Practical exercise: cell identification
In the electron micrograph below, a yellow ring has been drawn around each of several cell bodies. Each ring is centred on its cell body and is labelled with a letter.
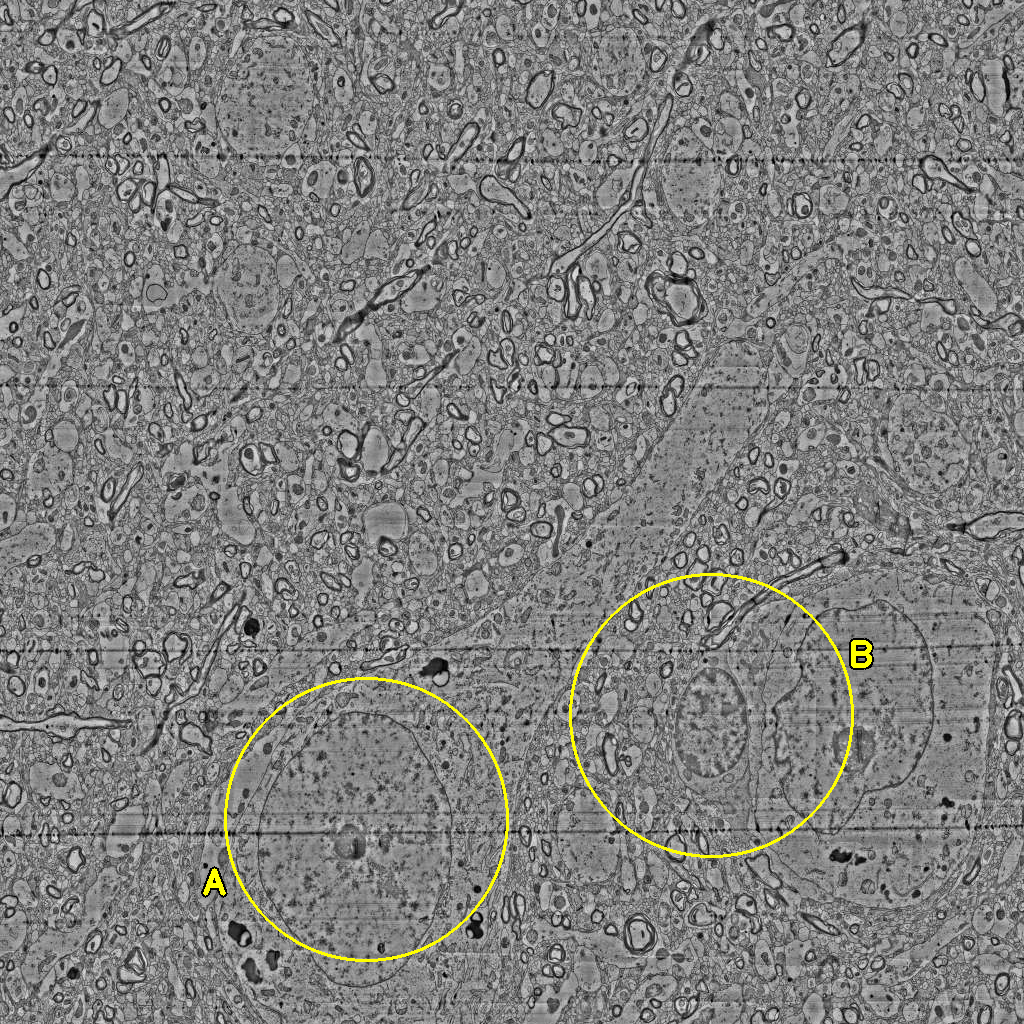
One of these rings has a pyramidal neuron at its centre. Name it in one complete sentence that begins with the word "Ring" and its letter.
Ring A has that cell at its centre.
